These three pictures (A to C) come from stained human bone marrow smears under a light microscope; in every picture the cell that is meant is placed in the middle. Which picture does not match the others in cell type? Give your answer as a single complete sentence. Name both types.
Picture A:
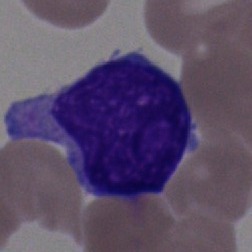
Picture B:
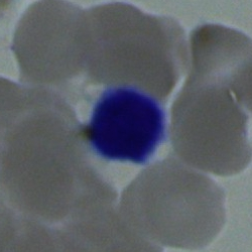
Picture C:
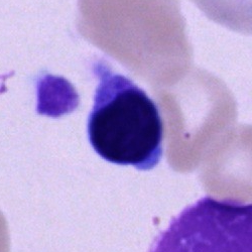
Picture A is the odd one out: it shows a blast, while the others show lymphocytes.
